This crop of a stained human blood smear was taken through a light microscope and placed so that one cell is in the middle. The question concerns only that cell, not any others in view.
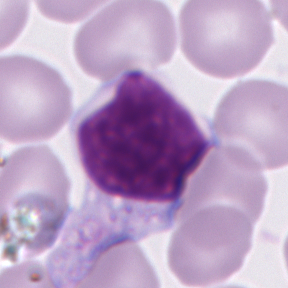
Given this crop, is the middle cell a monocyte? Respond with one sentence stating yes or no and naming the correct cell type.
No, the cell located centrally is a large granular lymphocyte rather than a monocyte.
